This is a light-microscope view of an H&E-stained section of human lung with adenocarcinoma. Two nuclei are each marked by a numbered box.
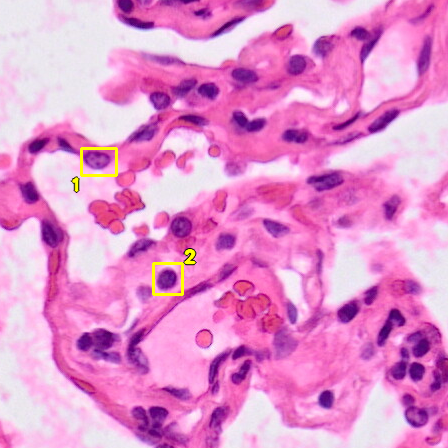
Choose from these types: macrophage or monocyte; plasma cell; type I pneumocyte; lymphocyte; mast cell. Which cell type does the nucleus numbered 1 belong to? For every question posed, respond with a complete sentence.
Here, the cell given the number 1 is a type I pneumocyte.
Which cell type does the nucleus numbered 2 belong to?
Numbered cell 2 is a lymphocyte in this tissue section.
